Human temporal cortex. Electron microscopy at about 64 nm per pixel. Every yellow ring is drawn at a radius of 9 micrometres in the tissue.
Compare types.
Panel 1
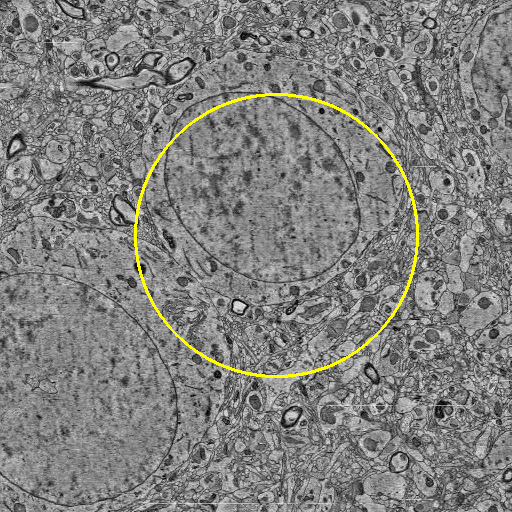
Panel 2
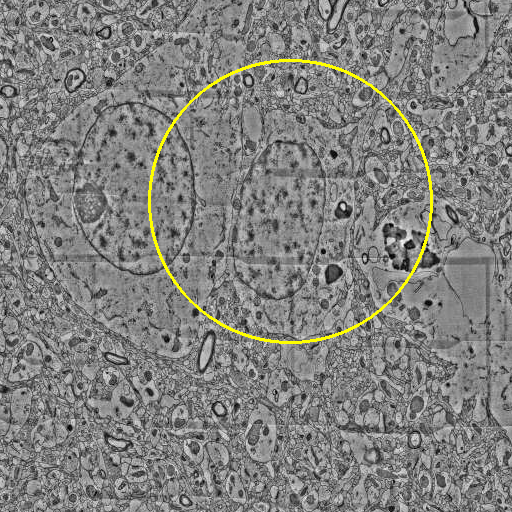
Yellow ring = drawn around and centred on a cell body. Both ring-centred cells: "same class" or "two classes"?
two classes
